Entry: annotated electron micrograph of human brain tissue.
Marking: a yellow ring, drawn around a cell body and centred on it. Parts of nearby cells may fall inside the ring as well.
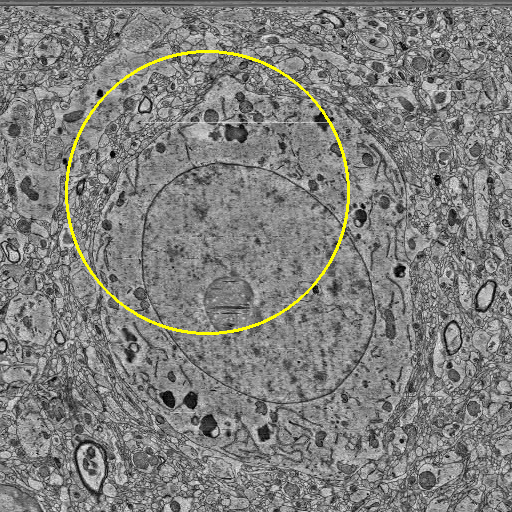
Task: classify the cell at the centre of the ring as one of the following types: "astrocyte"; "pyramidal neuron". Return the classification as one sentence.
The marked cell is classified as a pyramidal neuron.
